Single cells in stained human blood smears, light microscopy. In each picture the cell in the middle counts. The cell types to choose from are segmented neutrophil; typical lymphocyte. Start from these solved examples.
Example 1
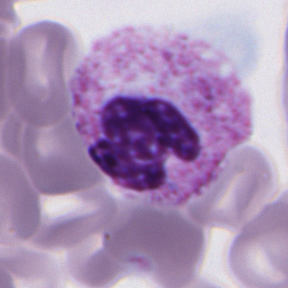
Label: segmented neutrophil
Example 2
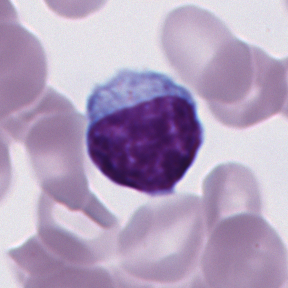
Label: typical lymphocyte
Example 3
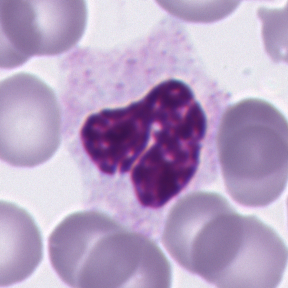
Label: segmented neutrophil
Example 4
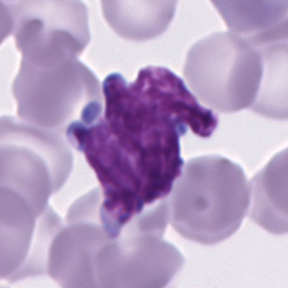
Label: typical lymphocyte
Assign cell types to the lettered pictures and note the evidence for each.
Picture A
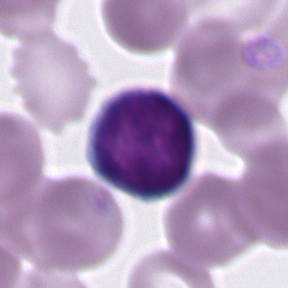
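Label: typical lymphocyte. The nucleus fills almost the whole cell, leaving only a very thin rim of cytoplasm.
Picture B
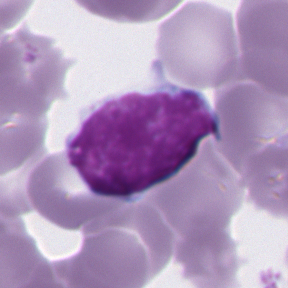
Label: typical lymphocyte. The nucleus fills almost the whole cell.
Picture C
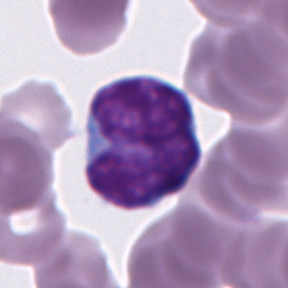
Label: typical lymphocyte. Cytoplasm is scant and shows mainly as a small wedge in the left notch of the nucleus.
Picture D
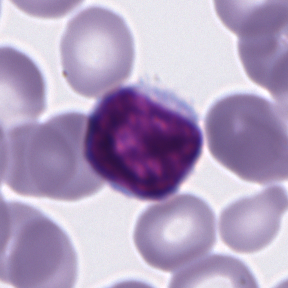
Label: typical lymphocyte. The cytoplasm is a very thin pale blue rim.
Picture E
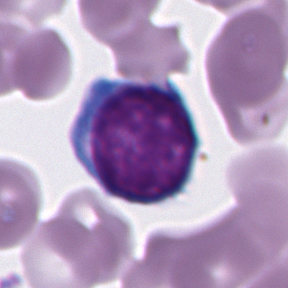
Label: typical lymphocyte. The cytoplasm forms a narrow rim that is widest on the left side of the cell.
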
